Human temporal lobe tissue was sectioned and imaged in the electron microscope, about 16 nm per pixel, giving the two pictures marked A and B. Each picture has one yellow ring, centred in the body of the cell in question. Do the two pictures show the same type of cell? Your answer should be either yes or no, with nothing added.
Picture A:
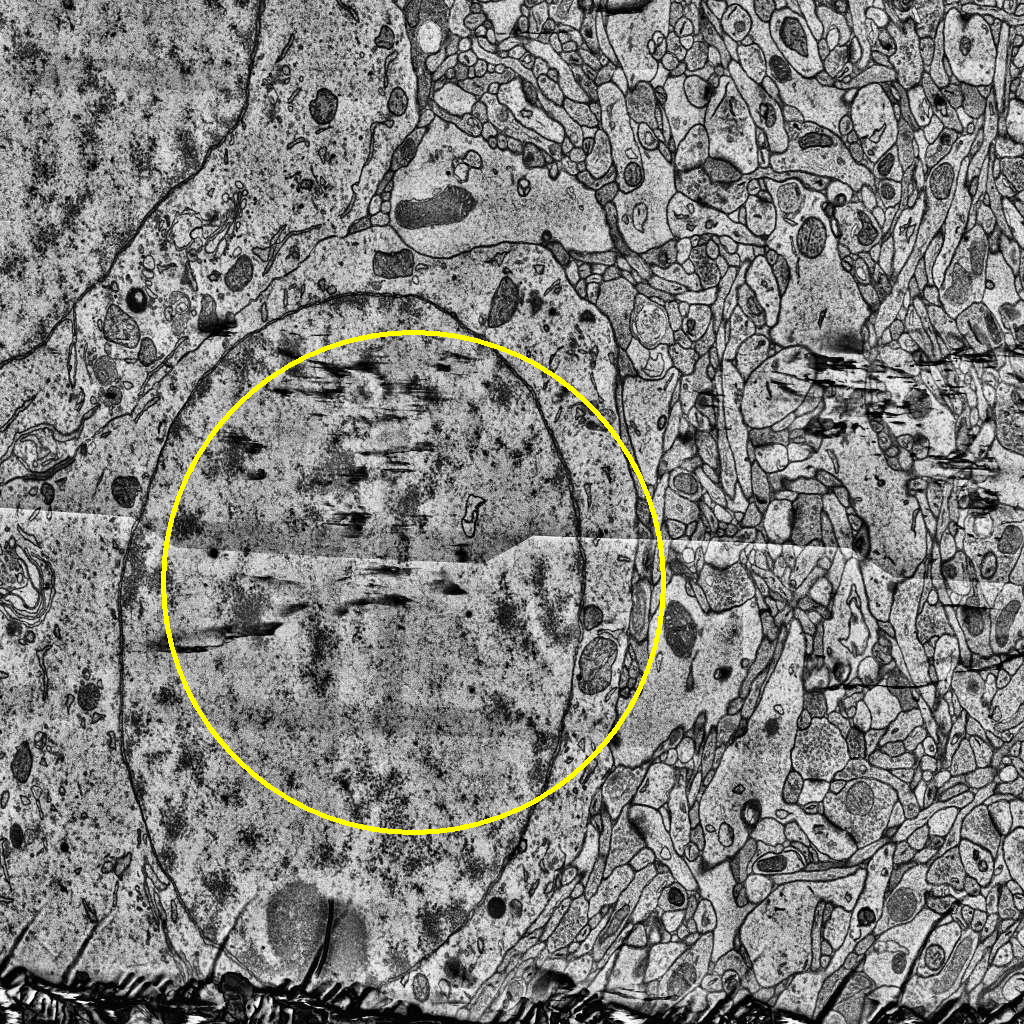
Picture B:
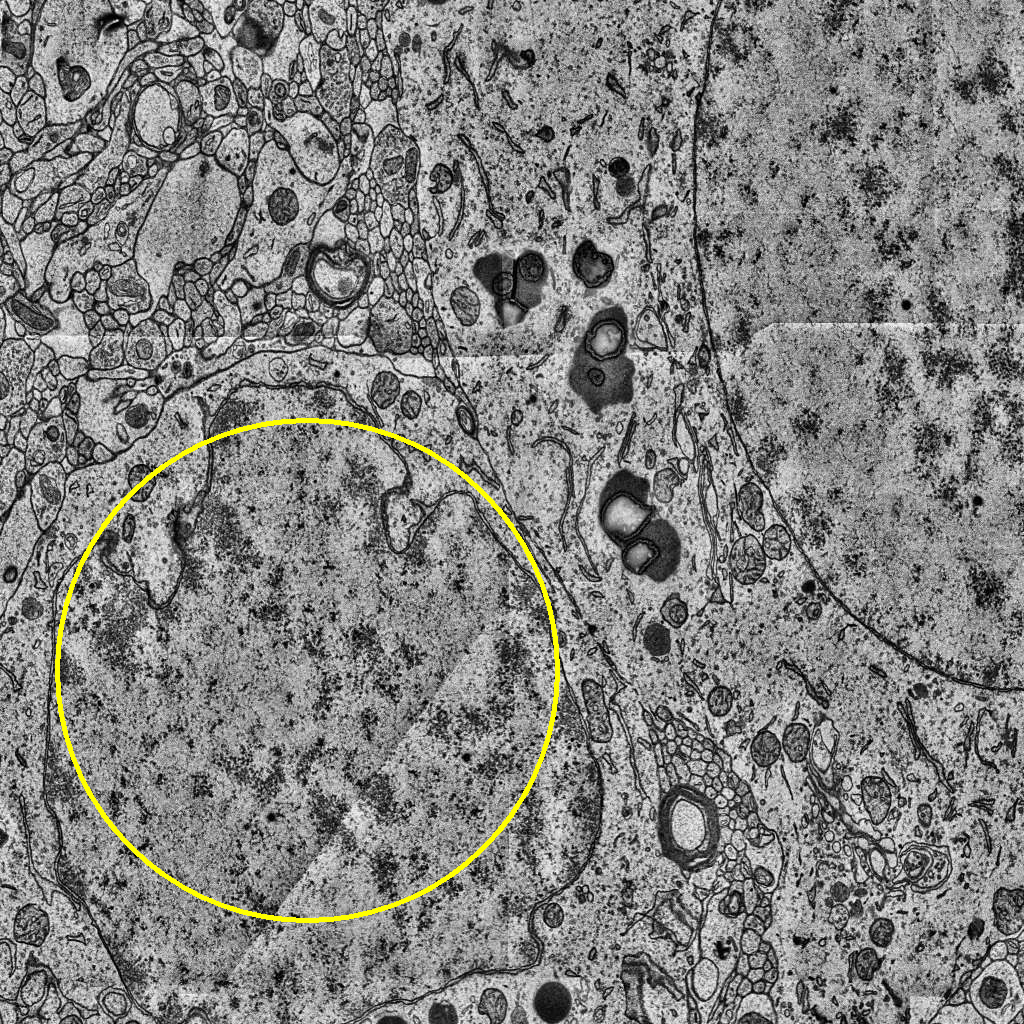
no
